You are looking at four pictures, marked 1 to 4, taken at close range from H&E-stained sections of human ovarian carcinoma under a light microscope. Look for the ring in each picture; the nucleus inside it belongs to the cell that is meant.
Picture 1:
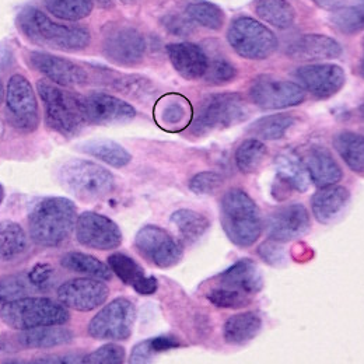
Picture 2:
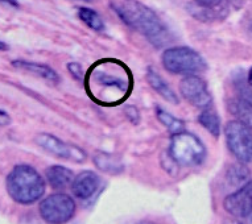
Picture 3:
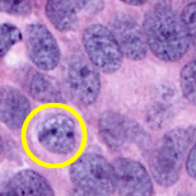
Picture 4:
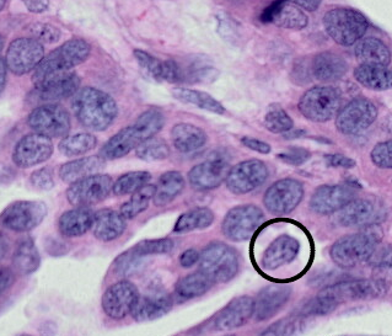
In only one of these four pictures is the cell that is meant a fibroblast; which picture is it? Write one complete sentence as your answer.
The fibroblast is the one in picture 2.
